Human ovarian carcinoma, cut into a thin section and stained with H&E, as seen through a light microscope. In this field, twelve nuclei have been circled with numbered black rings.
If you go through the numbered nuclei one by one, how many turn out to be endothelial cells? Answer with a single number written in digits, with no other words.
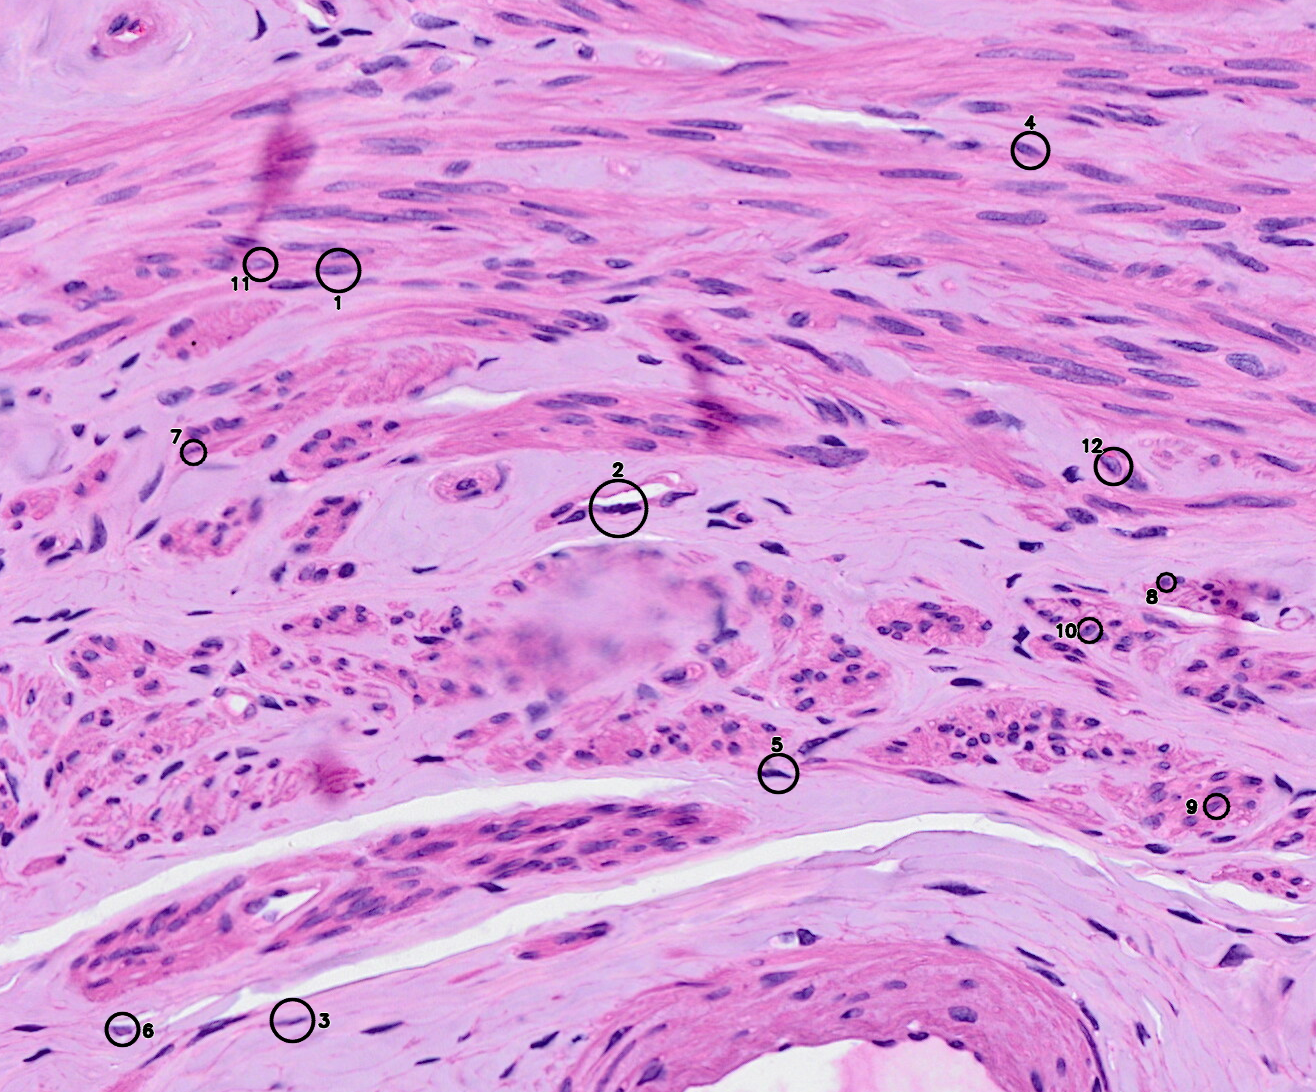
2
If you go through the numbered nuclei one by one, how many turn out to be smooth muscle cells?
7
